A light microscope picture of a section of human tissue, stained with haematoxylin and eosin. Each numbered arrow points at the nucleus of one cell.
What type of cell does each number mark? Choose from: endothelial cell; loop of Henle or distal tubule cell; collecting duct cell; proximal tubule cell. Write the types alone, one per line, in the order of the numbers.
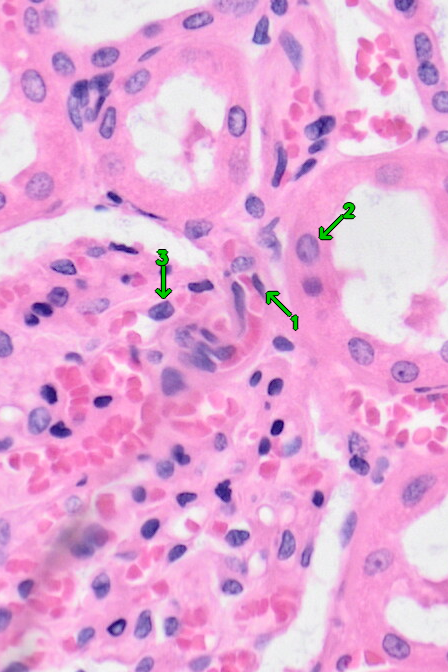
endothelial cell
proximal tubule cell
endothelial cell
